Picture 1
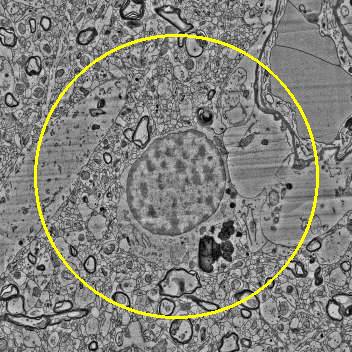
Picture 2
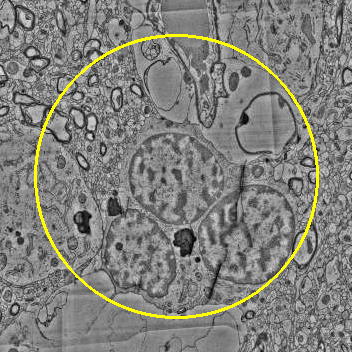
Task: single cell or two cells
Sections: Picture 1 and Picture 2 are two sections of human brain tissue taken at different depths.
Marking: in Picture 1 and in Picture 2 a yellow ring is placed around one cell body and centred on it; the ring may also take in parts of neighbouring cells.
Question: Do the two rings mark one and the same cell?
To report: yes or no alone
no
